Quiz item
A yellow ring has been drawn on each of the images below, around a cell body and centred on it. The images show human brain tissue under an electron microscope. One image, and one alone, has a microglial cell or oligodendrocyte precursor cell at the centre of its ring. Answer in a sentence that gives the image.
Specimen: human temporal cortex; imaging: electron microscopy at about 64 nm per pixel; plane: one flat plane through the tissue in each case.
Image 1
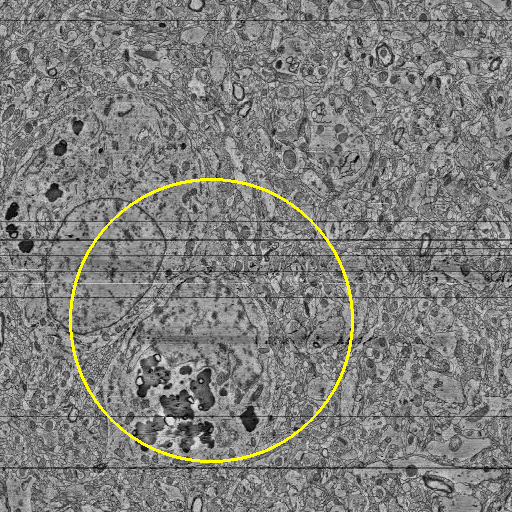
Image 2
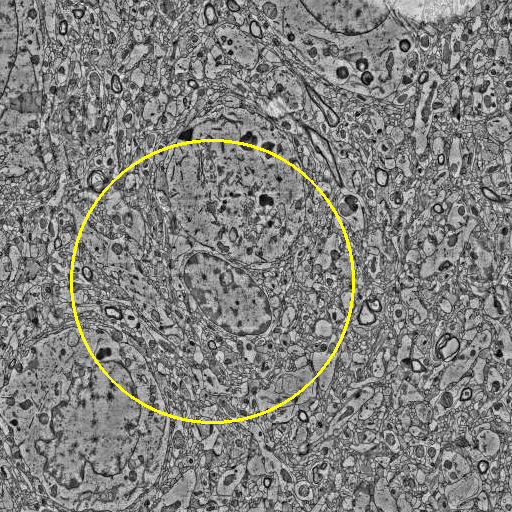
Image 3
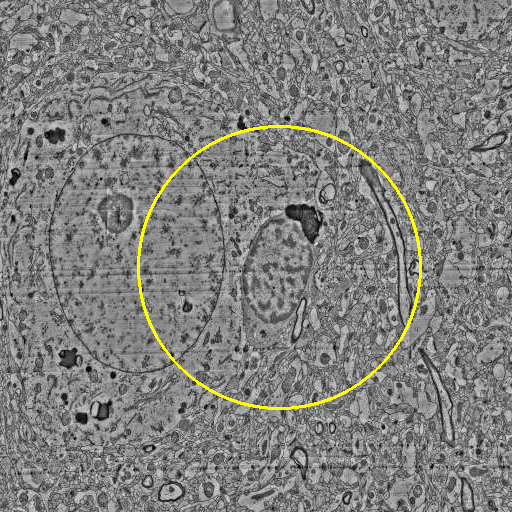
Image 2 shows it at the centre of the ring.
